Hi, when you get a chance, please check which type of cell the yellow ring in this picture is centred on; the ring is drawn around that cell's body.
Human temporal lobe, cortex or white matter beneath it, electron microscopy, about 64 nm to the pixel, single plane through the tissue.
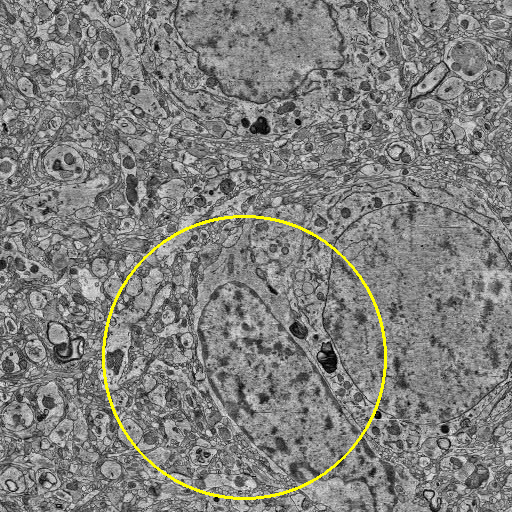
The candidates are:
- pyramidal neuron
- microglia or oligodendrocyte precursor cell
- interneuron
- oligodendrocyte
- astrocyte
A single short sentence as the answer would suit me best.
The ring is drawn around the body of a microglial cell or oligodendrocyte precursor cell.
